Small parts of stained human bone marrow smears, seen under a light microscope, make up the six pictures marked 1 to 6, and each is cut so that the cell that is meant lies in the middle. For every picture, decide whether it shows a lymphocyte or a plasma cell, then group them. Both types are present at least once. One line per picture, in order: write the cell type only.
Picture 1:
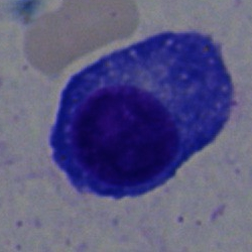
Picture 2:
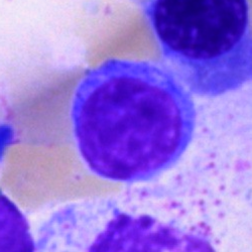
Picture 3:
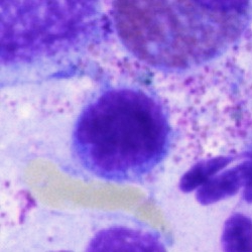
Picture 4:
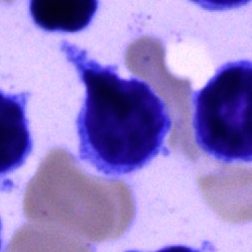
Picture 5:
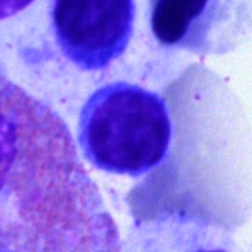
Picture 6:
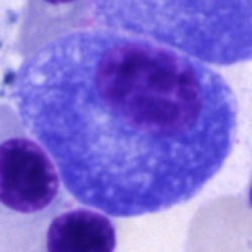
plasma cell
lymphocyte
lymphocyte
lymphocyte
lymphocyte
plasma cell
